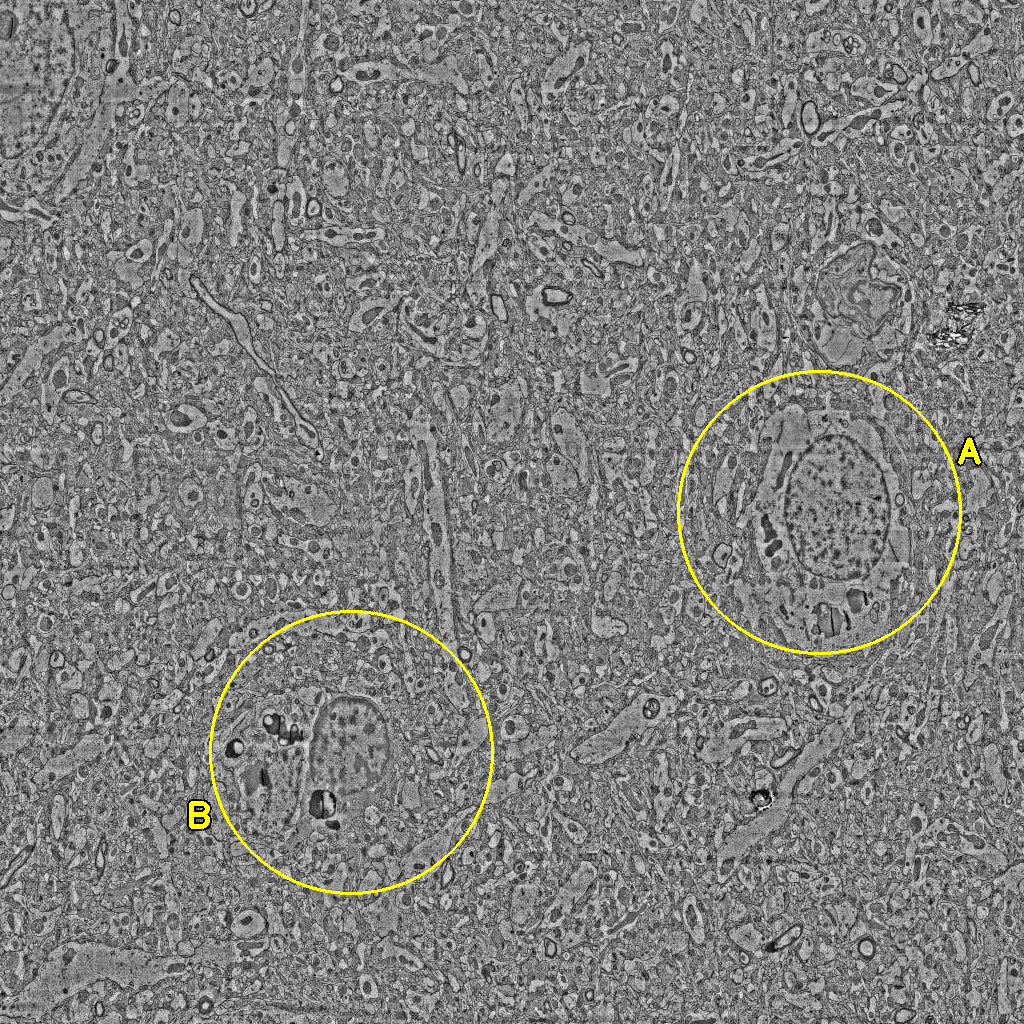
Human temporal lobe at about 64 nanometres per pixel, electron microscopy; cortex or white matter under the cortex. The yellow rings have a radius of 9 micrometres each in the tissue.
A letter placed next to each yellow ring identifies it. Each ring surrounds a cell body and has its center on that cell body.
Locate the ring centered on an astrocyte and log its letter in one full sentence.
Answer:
Ring A has at its center the cell that the task asks for.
